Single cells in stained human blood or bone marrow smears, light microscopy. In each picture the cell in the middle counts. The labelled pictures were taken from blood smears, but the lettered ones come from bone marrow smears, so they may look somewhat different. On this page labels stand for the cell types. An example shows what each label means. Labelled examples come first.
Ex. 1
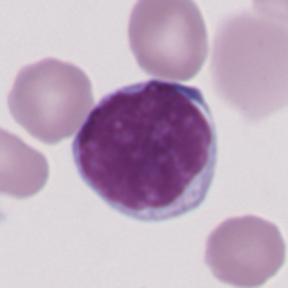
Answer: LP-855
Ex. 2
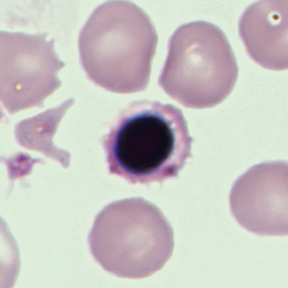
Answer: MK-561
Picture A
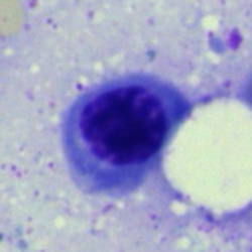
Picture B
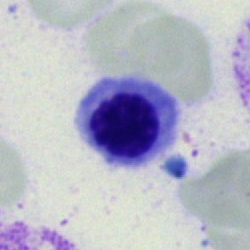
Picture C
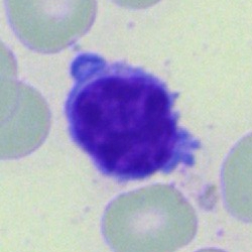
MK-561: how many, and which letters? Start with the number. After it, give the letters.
Count: 2 (A, B)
